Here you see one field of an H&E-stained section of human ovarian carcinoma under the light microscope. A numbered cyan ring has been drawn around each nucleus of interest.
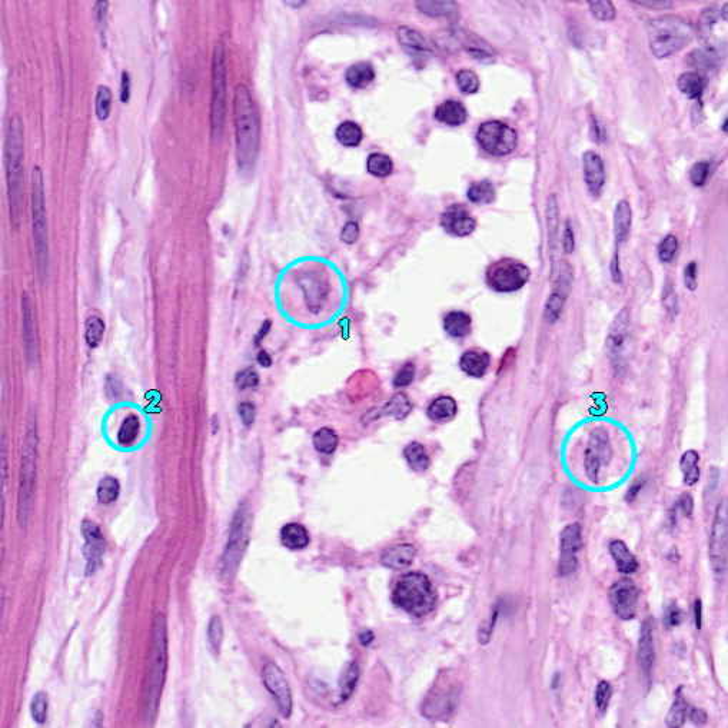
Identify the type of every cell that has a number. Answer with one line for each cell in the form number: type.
1: fibroblast
2: lymphocyte
3: macrophage or monocyte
